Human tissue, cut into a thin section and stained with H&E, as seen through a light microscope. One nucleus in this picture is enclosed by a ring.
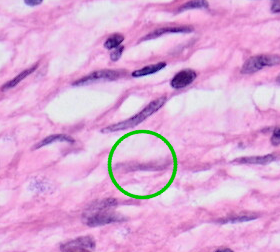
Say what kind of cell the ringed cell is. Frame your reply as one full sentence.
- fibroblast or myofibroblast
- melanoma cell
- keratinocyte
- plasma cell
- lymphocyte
As far as its identity is concerned, the ringed cell is a fibroblast or myofibroblast.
